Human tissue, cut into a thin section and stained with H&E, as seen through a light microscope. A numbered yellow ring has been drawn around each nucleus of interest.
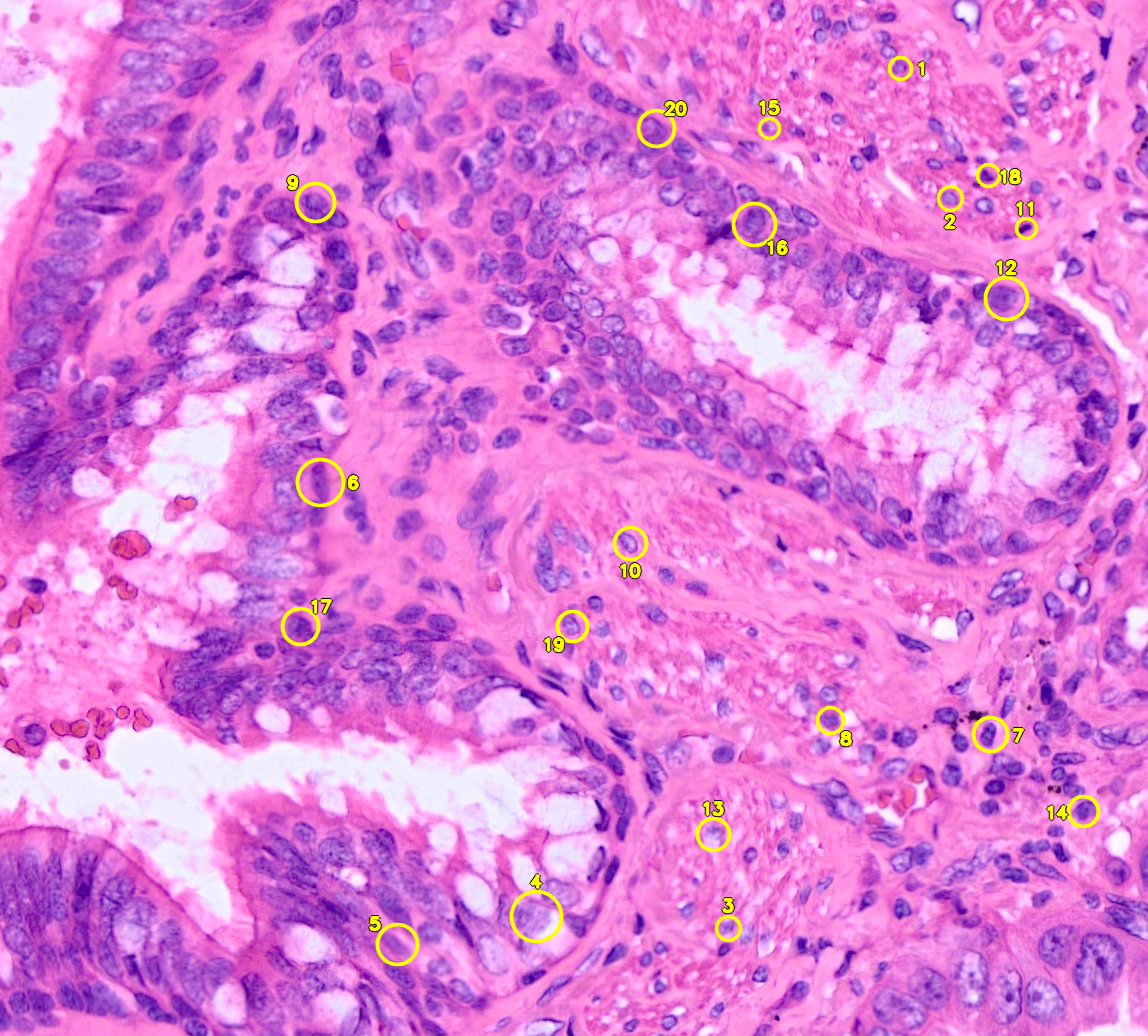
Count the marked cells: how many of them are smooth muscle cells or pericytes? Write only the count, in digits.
10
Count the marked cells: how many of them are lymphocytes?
2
